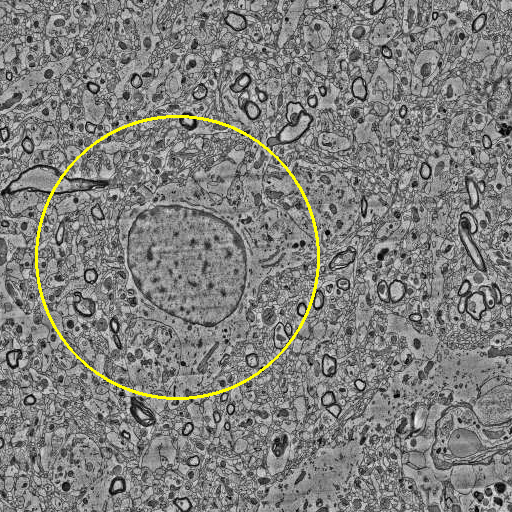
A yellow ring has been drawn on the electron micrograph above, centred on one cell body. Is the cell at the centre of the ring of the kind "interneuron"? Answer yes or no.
no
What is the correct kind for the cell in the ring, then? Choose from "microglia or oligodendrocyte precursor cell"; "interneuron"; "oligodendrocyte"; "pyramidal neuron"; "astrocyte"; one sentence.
Instead, what sits at the centre of the ring is a microglial cell or oligodendrocyte precursor cell.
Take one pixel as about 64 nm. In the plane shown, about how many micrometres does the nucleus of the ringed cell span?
Roughly 9 micrometres by 7 micrometres, in this plane.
